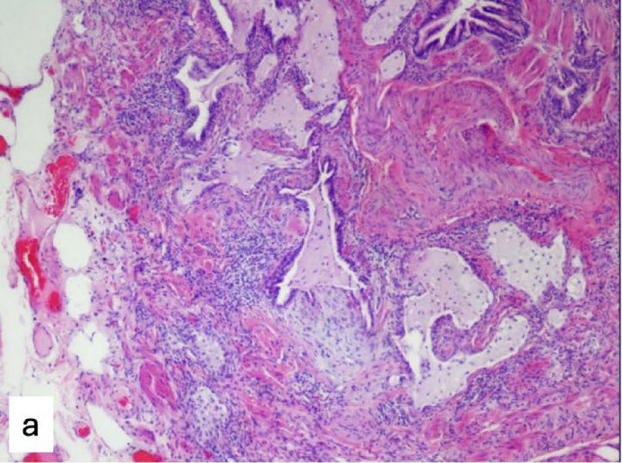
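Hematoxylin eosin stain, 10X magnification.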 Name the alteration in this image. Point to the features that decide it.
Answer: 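Microscopic honeycombing. Several irregular cystic spaces lined by epithelium. The spaces are filled with pale pink material. Dense pink collagenous tissue surrounds the spaces.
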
